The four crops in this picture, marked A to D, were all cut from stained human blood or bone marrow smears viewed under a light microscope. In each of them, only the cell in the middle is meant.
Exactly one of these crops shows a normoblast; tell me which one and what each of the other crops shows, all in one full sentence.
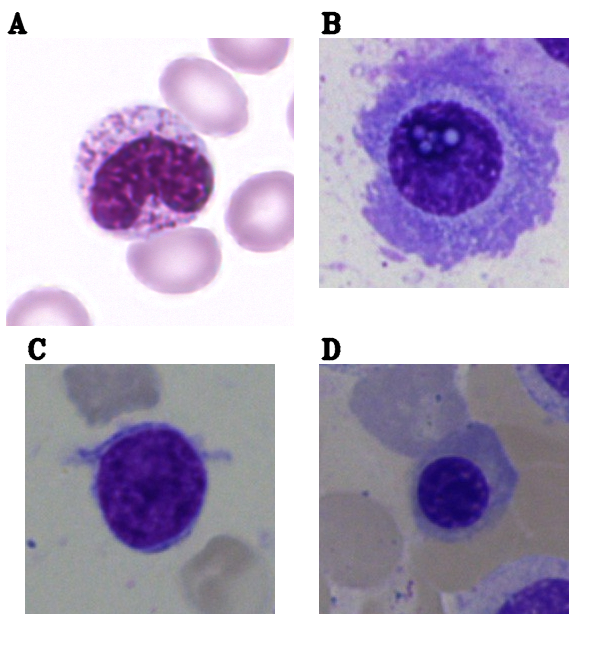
There is a normoblast in crop D, while crop A is a band neutrophil, crop B is a plasma cell and crop C is a lymphocyte.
